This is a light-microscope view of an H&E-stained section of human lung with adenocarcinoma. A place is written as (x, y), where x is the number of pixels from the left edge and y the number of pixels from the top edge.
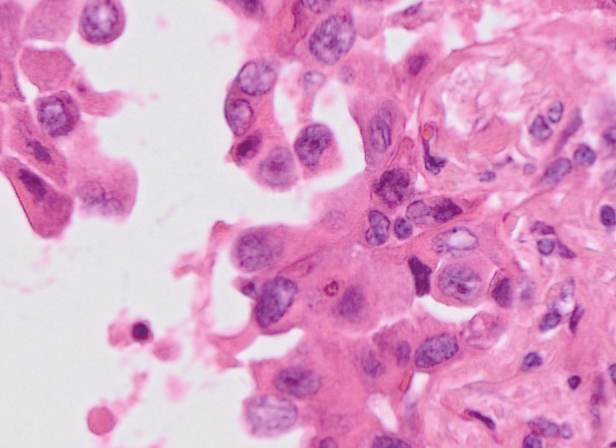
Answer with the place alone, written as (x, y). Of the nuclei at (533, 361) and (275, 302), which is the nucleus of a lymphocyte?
(533, 361)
